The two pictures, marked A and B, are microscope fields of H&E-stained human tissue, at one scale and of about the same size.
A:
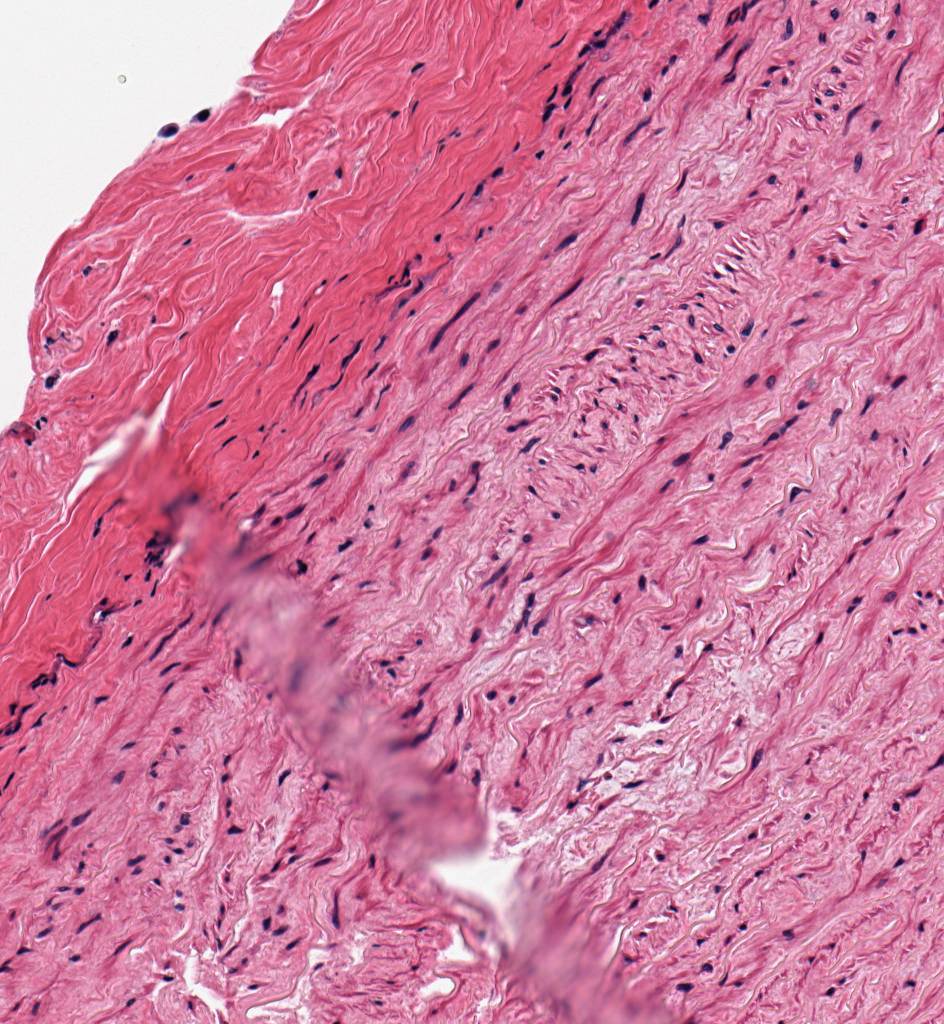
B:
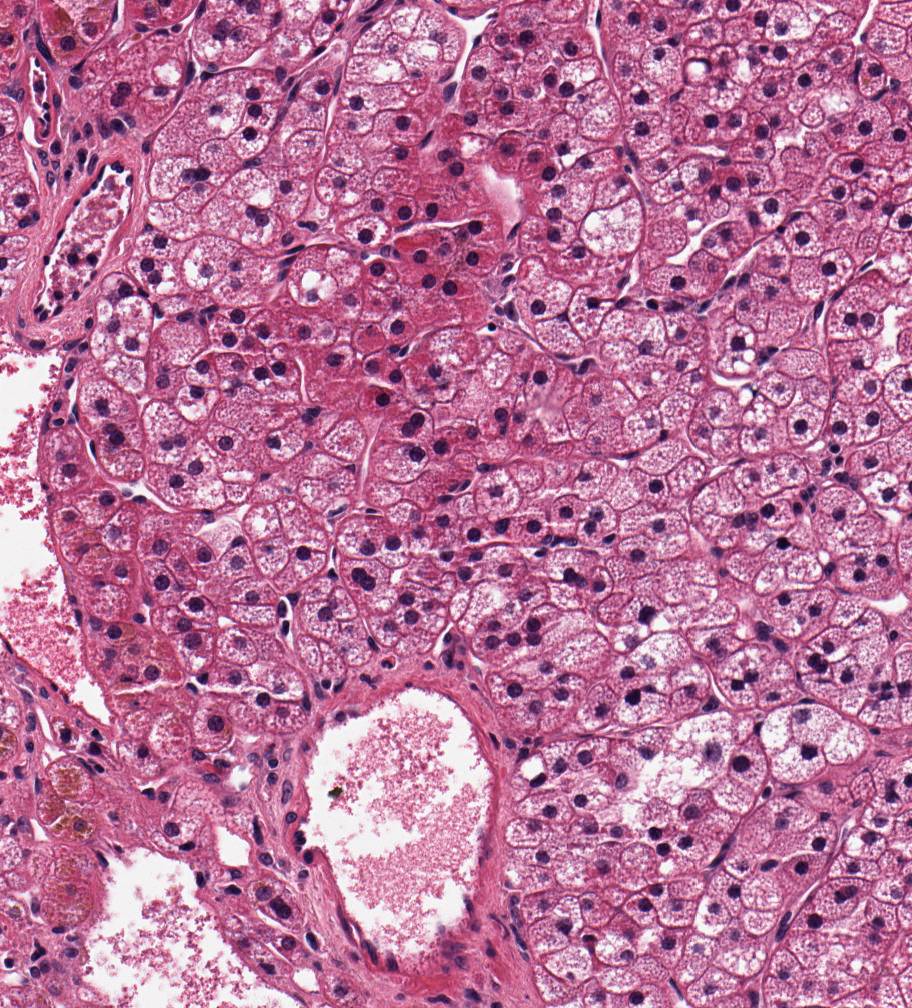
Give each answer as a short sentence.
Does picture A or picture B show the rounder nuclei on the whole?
It is picture B whose nuclei are the rounder.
